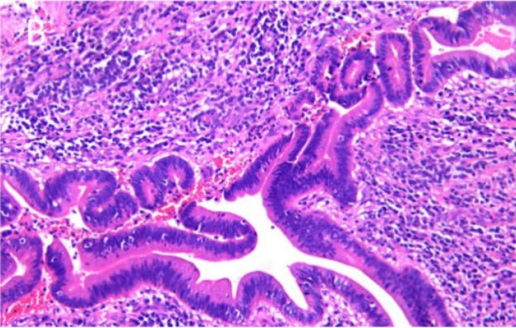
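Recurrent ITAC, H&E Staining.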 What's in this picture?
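Tumor tissue in which tall columnar epithelial cells form branching, glandular tubular structures with open lumina. The epithelial nuclei are elongated, dark and crowded, stacked at several levels, and the cytoplasm toward the lumen is pink. Between the glands, the interstitium is densely filled with small round dark-staining cells resembling lymphocytes, with a few red blood cells near the glands.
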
